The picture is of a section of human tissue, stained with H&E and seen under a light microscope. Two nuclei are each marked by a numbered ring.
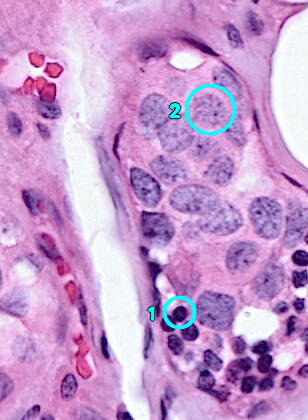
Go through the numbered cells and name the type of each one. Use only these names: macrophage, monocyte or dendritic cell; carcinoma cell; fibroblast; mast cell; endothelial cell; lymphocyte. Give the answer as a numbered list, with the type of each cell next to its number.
1. lymphocyte
2. carcinoma cell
